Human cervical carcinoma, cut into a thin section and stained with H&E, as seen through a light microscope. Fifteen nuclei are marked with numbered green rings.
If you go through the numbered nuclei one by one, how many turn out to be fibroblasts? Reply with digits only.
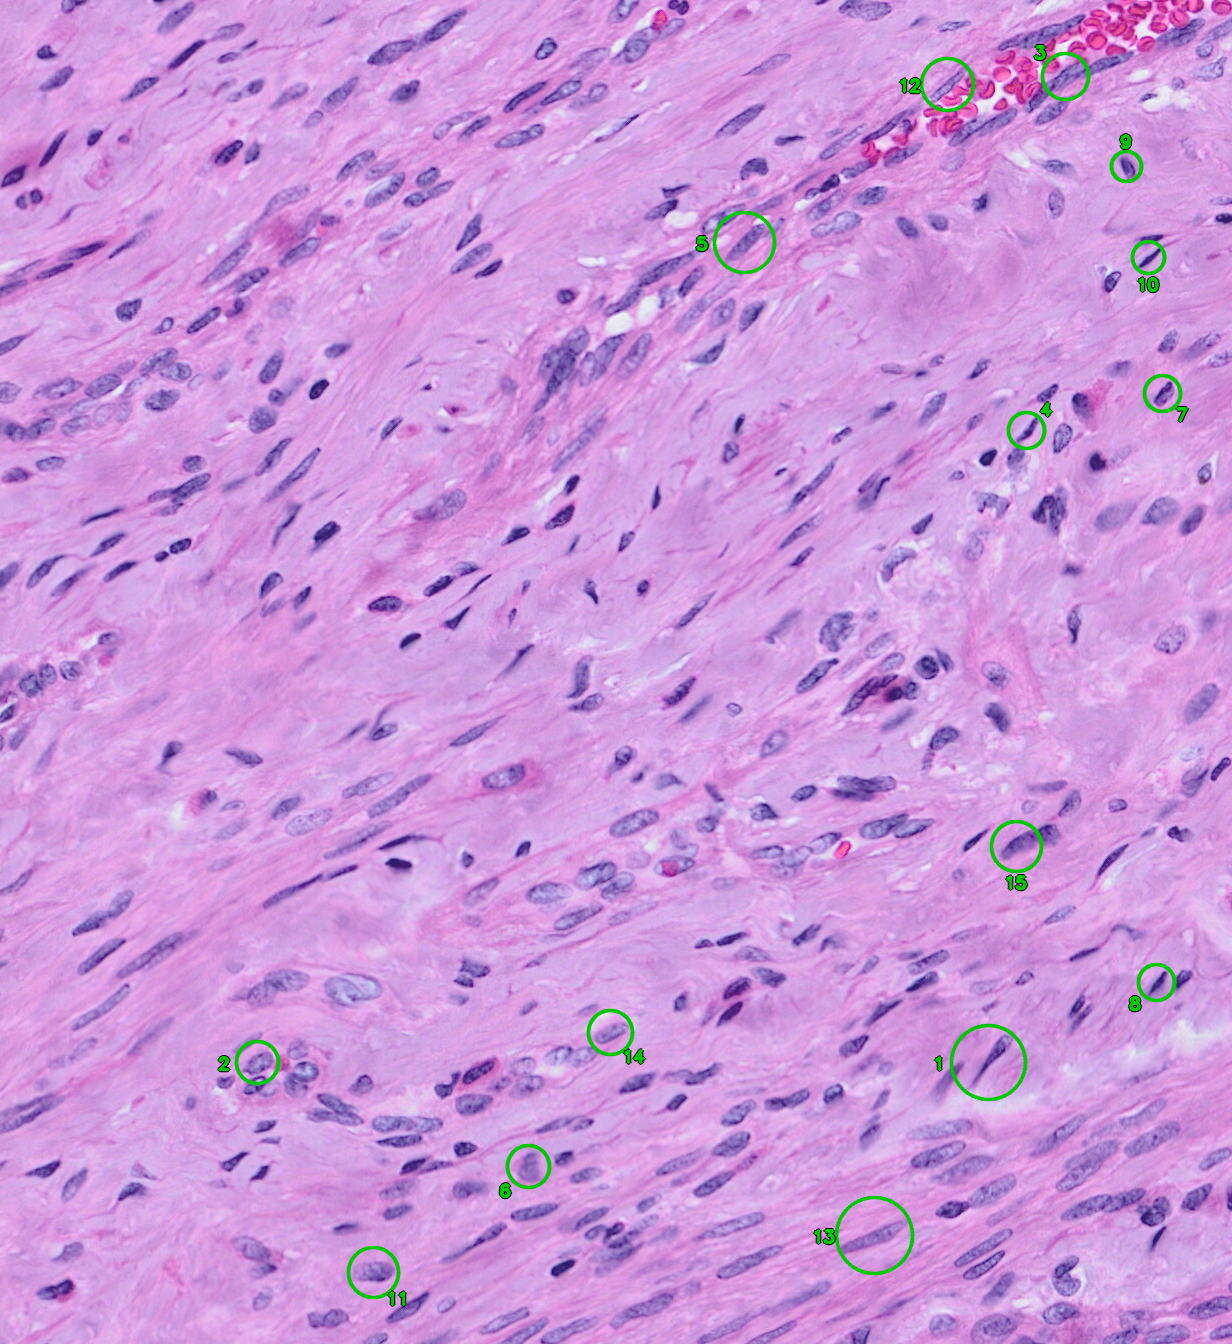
8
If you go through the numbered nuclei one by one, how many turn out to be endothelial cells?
5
